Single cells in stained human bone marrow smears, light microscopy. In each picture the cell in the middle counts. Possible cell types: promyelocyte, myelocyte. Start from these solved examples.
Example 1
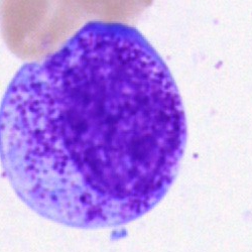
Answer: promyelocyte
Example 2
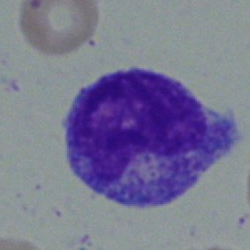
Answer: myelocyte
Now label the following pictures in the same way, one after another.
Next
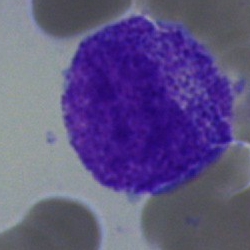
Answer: myelocyte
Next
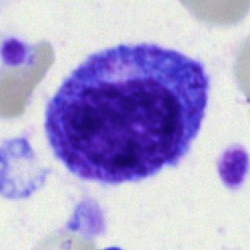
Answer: myelocyte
